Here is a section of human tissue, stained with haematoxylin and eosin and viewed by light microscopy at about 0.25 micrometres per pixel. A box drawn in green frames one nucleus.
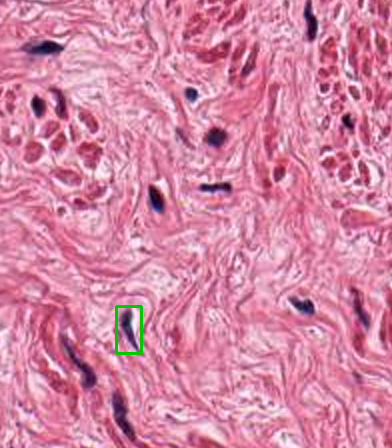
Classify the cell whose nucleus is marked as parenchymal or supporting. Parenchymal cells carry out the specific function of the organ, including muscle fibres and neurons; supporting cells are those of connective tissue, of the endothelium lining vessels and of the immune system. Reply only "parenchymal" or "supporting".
supporting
